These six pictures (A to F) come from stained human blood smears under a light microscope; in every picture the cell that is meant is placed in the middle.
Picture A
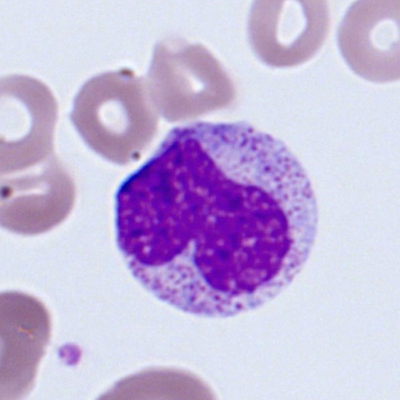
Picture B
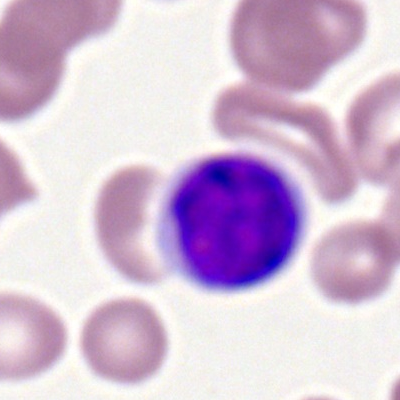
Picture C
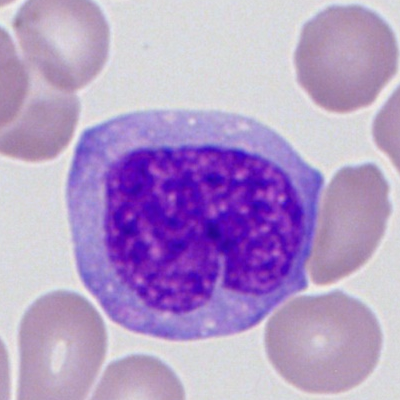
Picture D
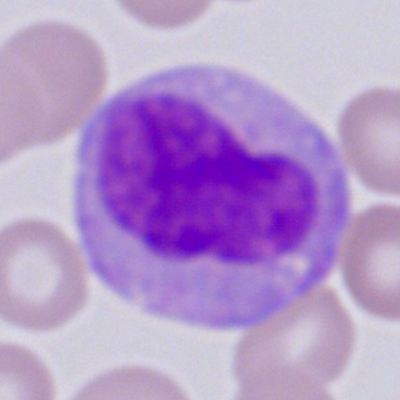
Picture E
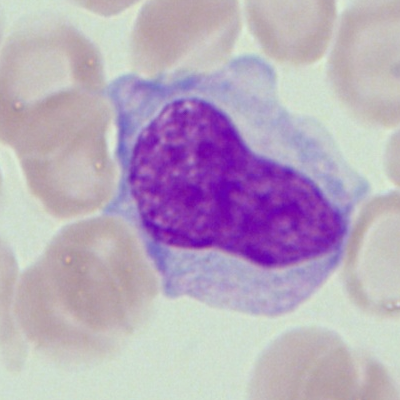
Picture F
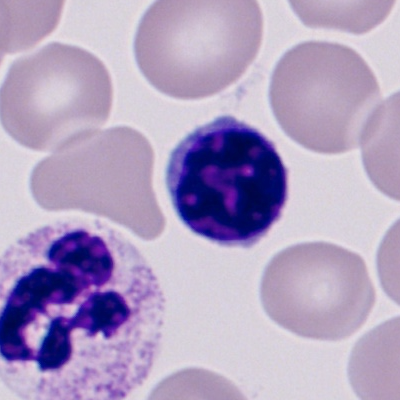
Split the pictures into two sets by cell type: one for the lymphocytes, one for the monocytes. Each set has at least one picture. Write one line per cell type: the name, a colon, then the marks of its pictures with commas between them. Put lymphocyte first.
lymphocyte: B, F
monocyte: A, C, D, E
